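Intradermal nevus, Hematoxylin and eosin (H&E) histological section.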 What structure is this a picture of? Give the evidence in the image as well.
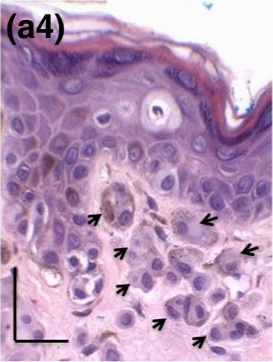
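Groups of rounded cells with round nuclei lie beneath the epidermis. Some cells hold brown pigment. The groups are set in pink stroma.
Conclusion: nests of epithelioid nevomelanocytes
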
